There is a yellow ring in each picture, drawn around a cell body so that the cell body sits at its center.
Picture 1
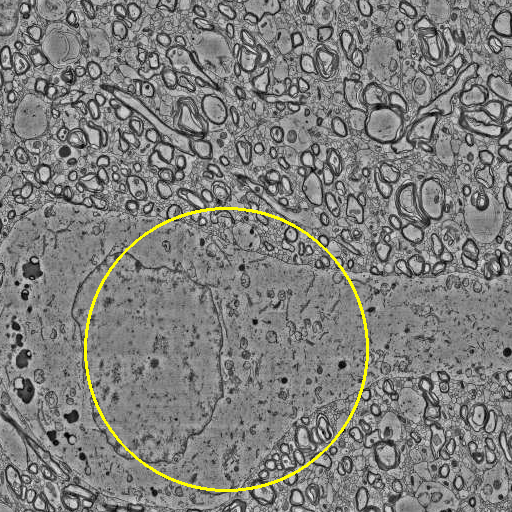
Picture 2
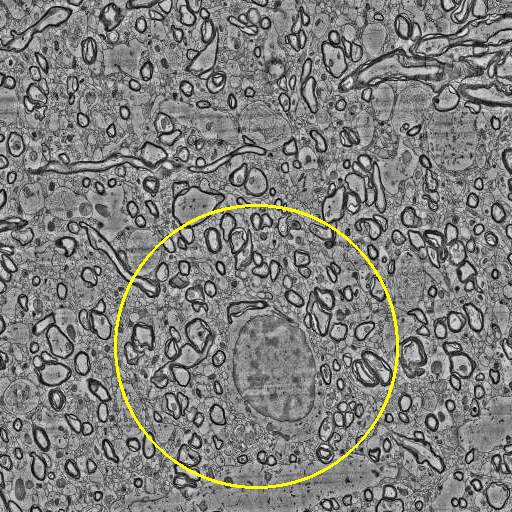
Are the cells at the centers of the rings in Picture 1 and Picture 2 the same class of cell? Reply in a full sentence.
No, the two cells are two classes of cell.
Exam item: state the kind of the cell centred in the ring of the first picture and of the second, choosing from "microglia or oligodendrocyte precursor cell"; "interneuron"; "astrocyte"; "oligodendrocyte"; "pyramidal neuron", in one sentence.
The first picture shows a pyramidal neuron at the ring centre and the second shows an oligodendrocyte.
